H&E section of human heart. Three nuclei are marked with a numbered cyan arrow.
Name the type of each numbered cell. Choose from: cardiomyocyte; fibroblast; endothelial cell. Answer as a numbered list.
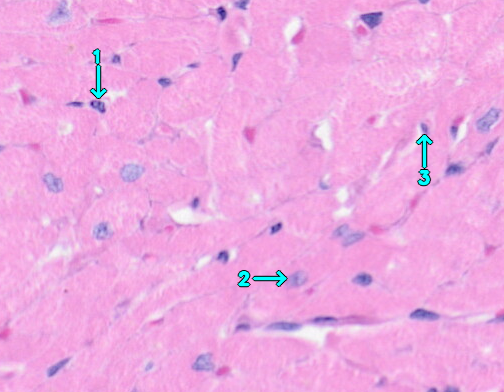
1. endothelial cell
2. cardiomyocyte
3. endothelial cell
